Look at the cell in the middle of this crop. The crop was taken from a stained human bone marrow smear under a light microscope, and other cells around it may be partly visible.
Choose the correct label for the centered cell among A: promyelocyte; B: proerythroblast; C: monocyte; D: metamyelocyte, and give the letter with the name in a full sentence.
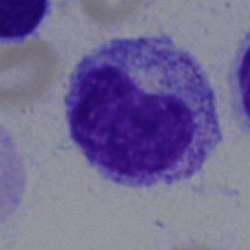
Option D is the right one, for the cell in the middle is a metamyelocyte.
